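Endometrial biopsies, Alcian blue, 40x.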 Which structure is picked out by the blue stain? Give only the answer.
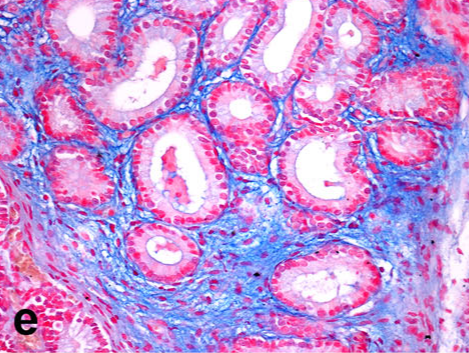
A: Focal deposit of mucopolysaccharide extracellular matrix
